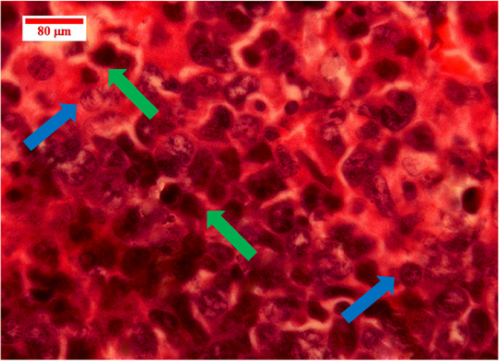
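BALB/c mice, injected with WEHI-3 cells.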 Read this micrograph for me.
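Liver tissue in which hepatocytes appear damaged and the normal plate arrangement is hard to make out. The field is densely packed with cells whose nuclei are dark purple, crowded and variable in size and shape, some irregular or clumped. The cytoplasm is intensely red and the cell borders are indistinct in many places. Narrow pale clefts separate groups of cells, and darker cells lie within these spaces between the hepatocytes. Some hepatocyte nuclei still show a rounded outline with granular chromatin. Compared with normal liver, the tissue looks hypercellular and disorganised.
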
